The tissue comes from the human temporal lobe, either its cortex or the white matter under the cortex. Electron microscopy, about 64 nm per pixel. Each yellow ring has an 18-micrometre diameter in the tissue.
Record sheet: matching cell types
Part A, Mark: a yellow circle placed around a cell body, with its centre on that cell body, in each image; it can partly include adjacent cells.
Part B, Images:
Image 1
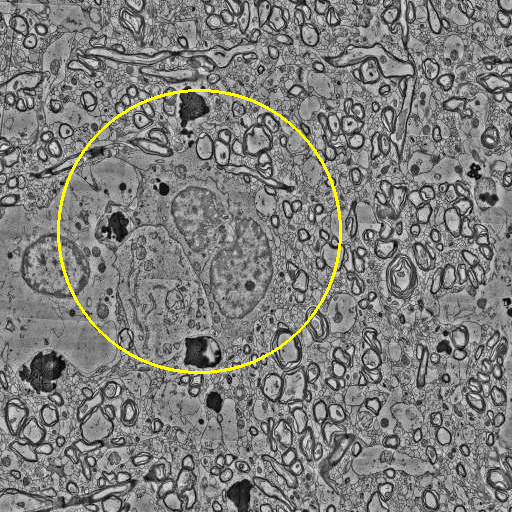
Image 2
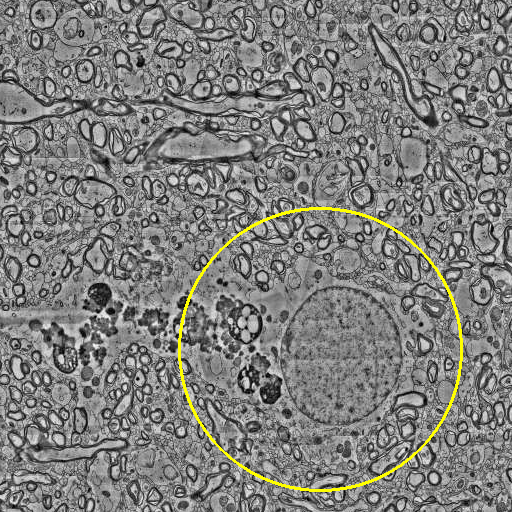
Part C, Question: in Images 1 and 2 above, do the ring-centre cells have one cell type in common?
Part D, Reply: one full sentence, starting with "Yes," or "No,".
No, the ring-centre cells of Image 1 and Image 2 are each of a separate cell type.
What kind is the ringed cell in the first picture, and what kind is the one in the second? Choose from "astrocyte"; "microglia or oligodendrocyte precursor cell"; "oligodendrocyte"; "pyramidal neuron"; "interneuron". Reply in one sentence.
The first cell is an oligodendrocyte; the second is an astrocyte.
